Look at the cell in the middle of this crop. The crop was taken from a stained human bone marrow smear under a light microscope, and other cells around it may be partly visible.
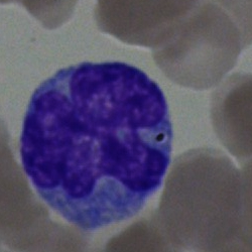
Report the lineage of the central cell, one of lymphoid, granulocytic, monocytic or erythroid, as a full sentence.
In the crop, the cell at the center is of monocytic lineage.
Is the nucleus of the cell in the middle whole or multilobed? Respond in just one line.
The nuclear outline breaks up into two or more lobes.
